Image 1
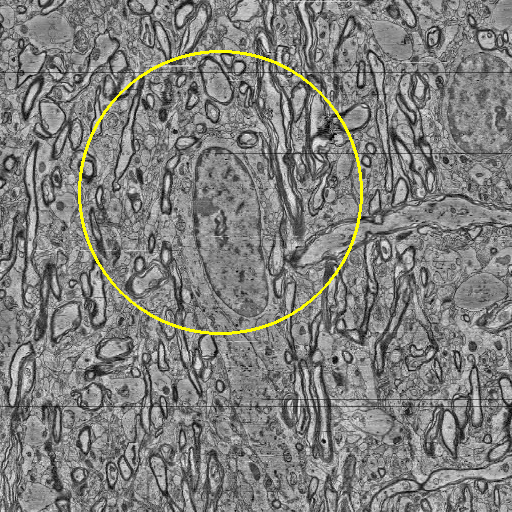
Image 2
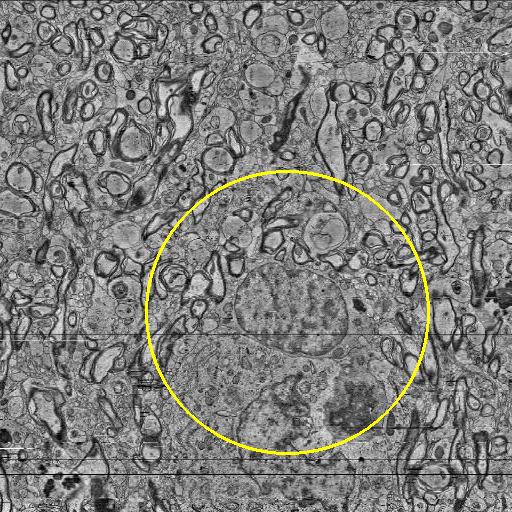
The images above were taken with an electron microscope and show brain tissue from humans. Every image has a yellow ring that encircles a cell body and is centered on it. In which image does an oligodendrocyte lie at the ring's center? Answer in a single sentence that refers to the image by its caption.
In Image 2, the cell at the center of the yellow ring is the correct match.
